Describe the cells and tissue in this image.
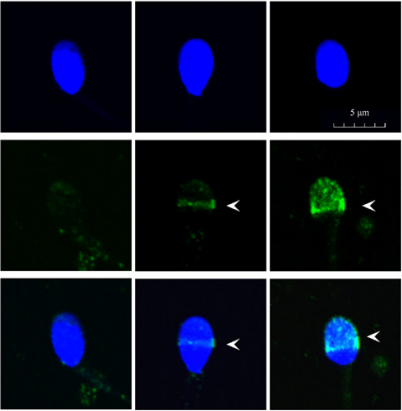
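These are single sperm heads, each an oval blue nucleus with a short thin piece trailing below where the tail starts. In the left column the green is only faint scattered speckles with no clear pattern on the head. In the middle column the green forms a thin band straight across the middle of the head, the equatorial region, marked by a white arrowhead. In the right column the green covers the front of the head as a cap, the acrosomal region, ending in a brighter line across the head.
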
